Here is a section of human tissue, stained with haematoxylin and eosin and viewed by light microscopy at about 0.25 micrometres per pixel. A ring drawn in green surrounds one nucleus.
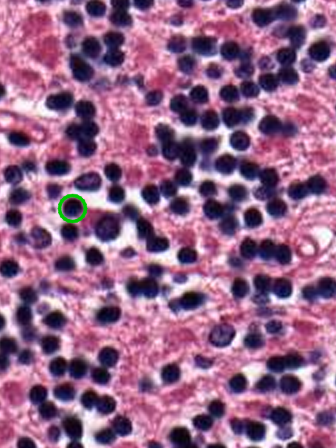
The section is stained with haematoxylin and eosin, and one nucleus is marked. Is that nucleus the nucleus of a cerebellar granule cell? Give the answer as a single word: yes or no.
yes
